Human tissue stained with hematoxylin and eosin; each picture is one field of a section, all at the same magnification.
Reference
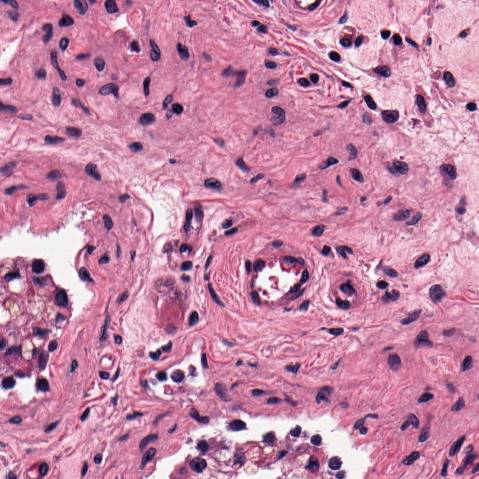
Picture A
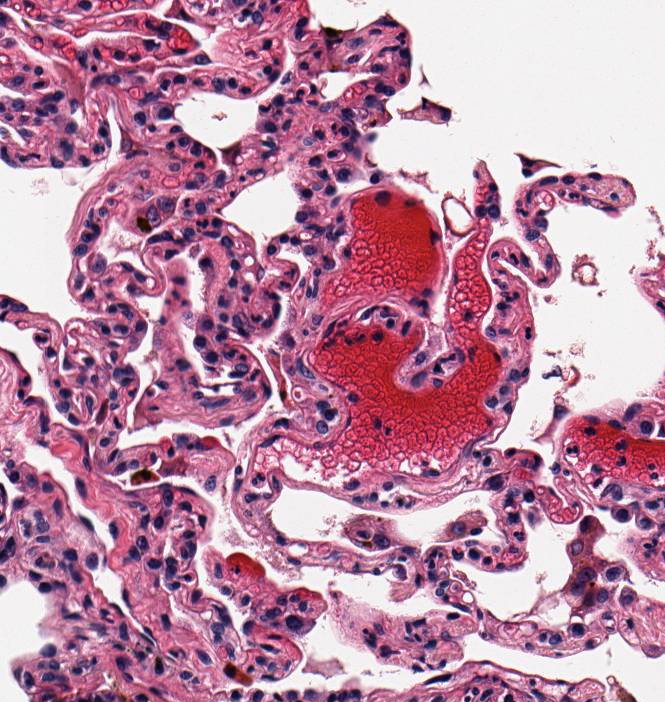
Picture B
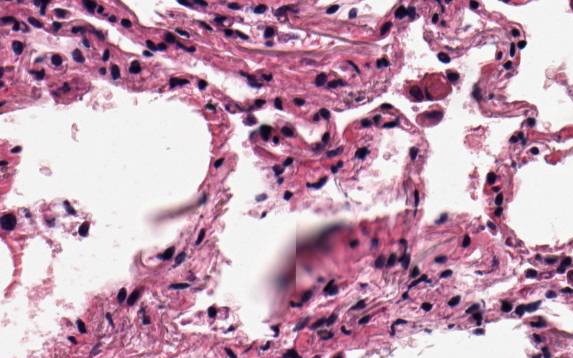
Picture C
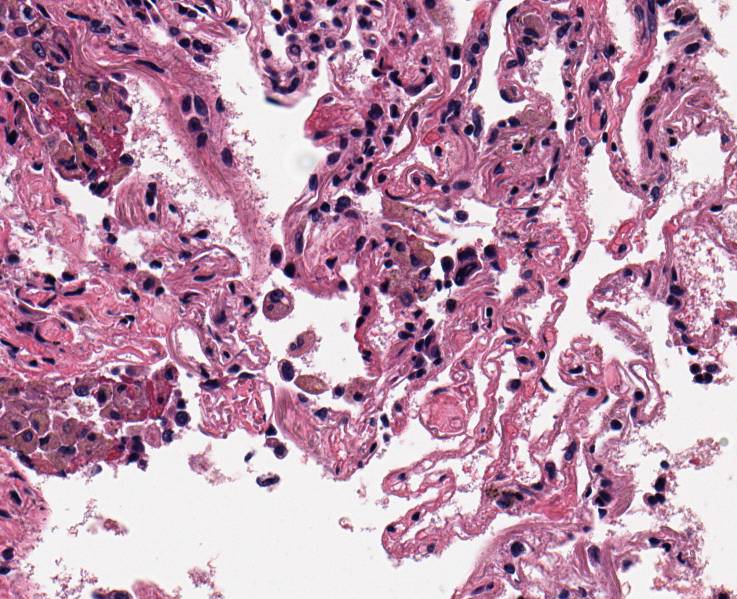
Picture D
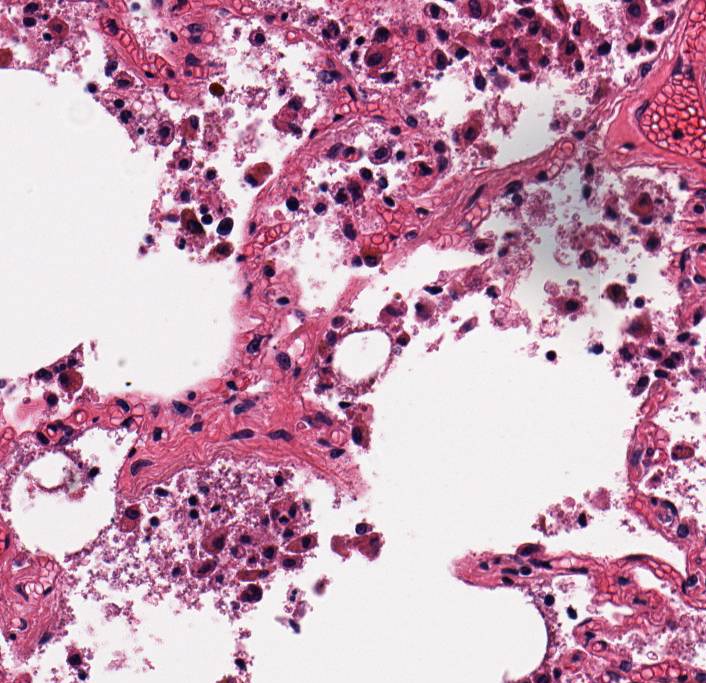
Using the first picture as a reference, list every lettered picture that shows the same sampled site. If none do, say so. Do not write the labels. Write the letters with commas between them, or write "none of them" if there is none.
none of them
